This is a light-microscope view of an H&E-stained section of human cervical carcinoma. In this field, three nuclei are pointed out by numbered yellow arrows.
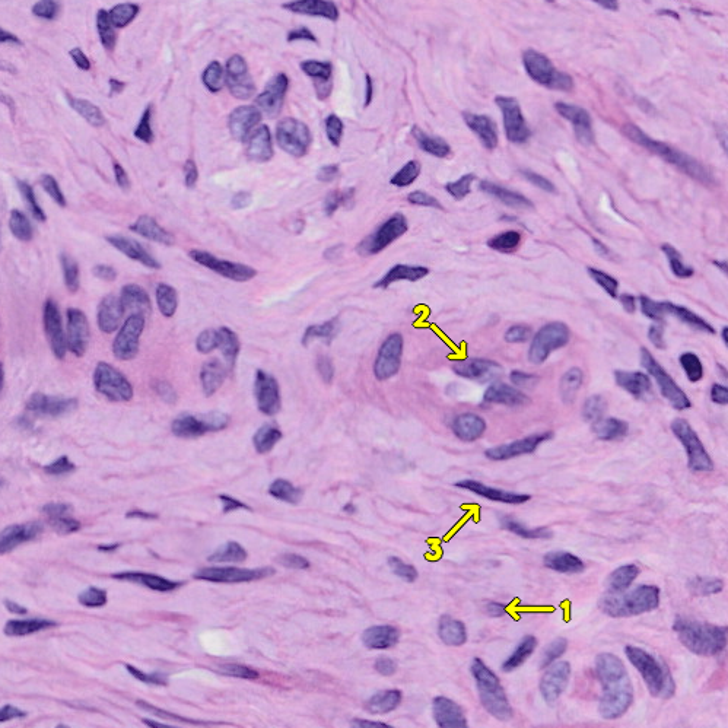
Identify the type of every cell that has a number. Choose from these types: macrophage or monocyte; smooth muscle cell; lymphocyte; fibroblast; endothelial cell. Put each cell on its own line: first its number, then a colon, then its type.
1: smooth muscle cell
2: endothelial cell
3: fibroblast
